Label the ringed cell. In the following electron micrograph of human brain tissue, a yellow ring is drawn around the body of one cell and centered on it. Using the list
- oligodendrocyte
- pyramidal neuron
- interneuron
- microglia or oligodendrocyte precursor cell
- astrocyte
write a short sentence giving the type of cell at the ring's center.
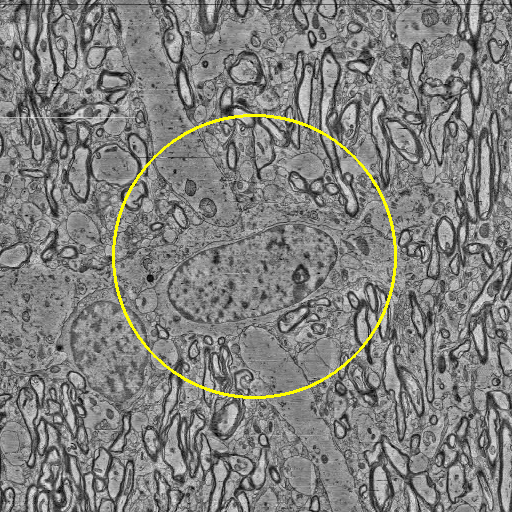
The cell body at the ring's center is that of a microglial cell or oligodendrocyte precursor cell.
